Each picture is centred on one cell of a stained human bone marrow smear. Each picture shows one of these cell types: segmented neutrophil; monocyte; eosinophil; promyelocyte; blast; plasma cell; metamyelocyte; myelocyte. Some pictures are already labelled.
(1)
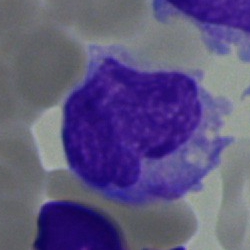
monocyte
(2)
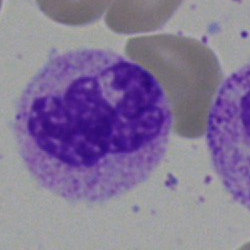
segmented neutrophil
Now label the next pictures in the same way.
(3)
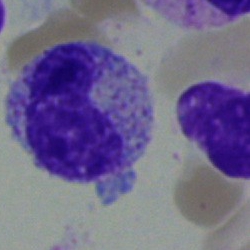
metamyelocyte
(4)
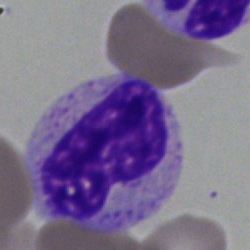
metamyelocyte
